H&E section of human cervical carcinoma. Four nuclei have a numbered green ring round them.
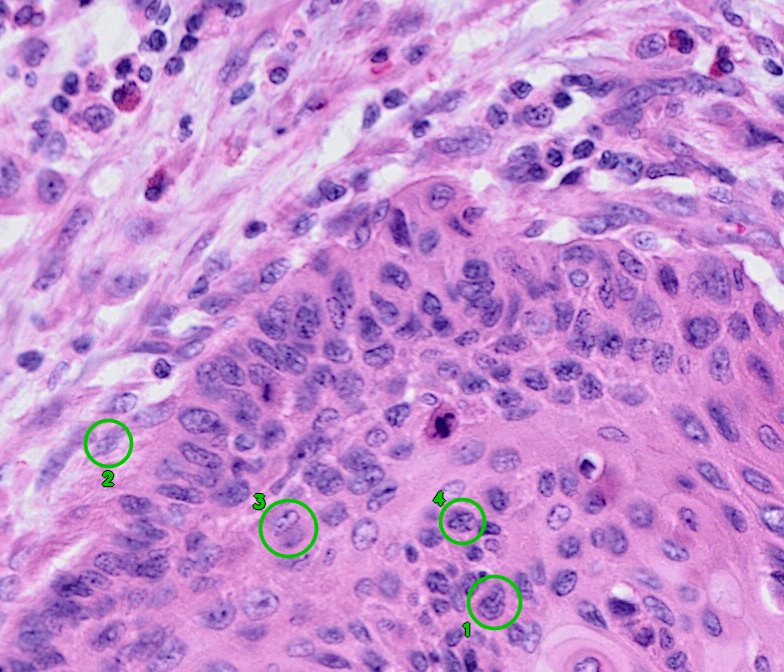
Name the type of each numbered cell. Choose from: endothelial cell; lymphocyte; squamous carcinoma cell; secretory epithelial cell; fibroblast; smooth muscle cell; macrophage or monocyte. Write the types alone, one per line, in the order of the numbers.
squamous carcinoma cell
fibroblast
squamous carcinoma cell
squamous carcinoma cell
